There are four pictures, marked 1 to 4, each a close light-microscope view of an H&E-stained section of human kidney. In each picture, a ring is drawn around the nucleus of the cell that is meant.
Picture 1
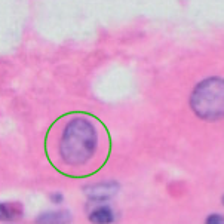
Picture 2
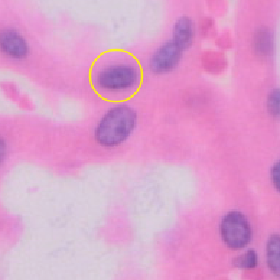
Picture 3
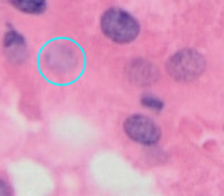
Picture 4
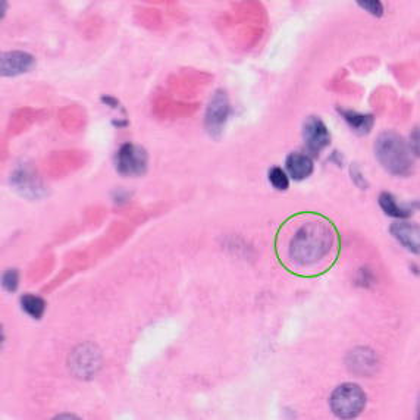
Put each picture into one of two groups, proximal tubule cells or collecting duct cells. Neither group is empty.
1: proximal tubule cell
2: collecting duct cell
3: proximal tubule cell
4: proximal tubule cell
